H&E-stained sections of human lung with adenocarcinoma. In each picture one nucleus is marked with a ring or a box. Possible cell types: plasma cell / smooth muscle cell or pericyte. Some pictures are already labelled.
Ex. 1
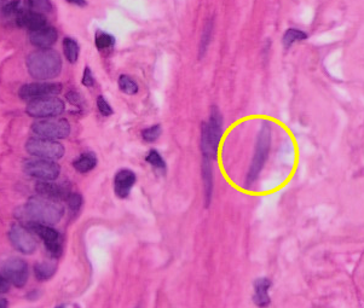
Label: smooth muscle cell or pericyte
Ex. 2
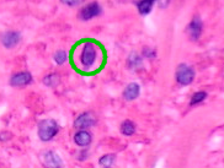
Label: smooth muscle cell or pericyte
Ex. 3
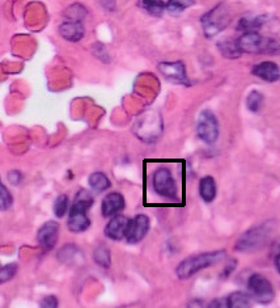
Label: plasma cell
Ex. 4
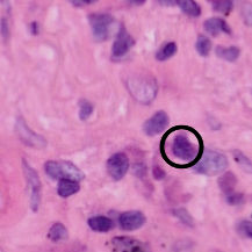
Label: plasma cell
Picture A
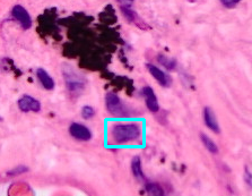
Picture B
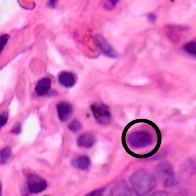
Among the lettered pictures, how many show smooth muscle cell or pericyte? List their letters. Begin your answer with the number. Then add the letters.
0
